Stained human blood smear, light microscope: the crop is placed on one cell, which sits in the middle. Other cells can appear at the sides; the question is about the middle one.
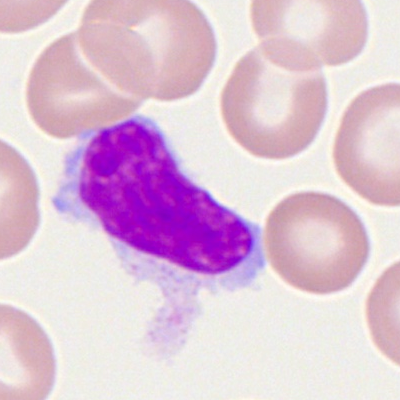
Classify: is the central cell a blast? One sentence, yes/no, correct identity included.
No, a lymphocyte, not a blast, is what sits in the centre of the crop.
